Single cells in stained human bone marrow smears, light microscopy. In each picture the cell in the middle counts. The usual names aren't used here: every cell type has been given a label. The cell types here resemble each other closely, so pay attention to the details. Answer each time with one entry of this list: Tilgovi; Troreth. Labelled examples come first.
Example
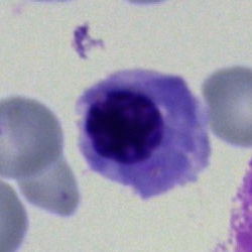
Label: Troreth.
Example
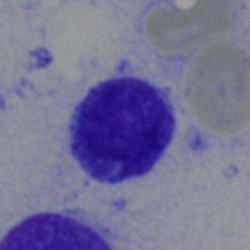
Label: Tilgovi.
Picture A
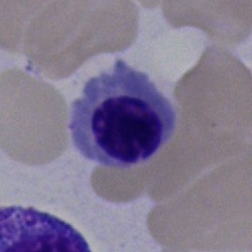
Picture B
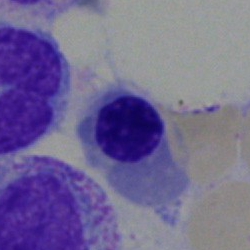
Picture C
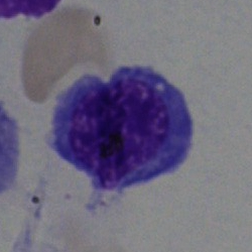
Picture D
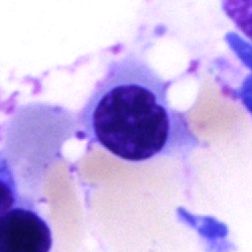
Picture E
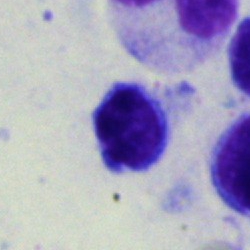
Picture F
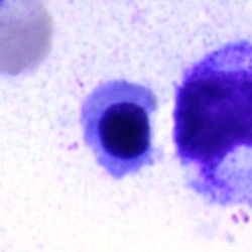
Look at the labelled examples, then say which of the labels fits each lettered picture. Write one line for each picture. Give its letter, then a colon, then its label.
A: Troreth.
B: Troreth.
C: Troreth.
D: Troreth.
E: Tilgovi.
F: Troreth.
